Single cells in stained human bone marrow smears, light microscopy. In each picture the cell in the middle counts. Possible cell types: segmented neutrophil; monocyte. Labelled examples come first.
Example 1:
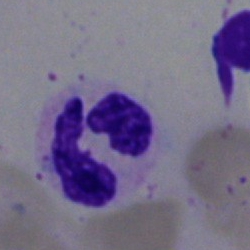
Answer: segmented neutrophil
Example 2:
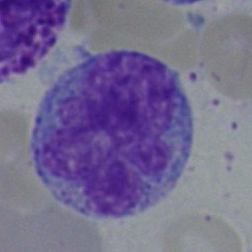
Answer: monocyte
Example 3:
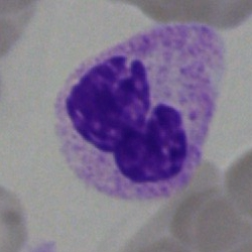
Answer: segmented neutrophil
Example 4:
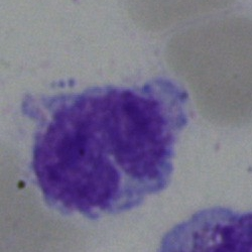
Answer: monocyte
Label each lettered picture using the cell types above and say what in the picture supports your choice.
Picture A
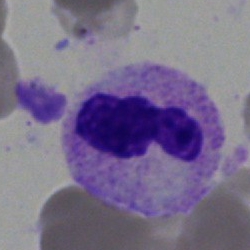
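segmented neutrophil. Reason: The cytoplasm is abundant and pale lilac.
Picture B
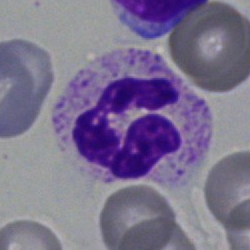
segmented neutrophil. Reason: Fine purple granules are scattered throughout the cytoplasm.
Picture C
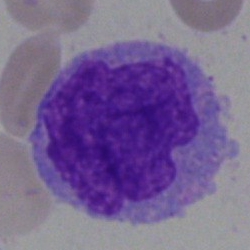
monocyte. Reason: The nucleus fills most of the cell.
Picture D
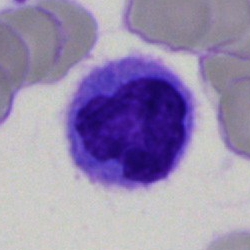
monocyte. Reason: The nucleus fills most of the cell, leaving a narrow rim of cytoplasm.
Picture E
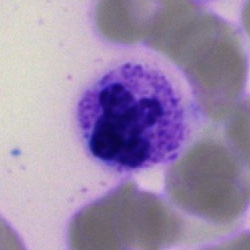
segmented neutrophil. Reason: Purple granules are scattered throughout the cytoplasm.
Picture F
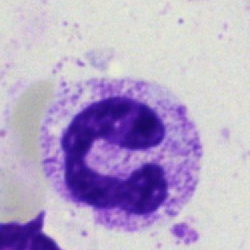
segmented neutrophil. Reason: Fine purple granules are scattered throughout the cytoplasm.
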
